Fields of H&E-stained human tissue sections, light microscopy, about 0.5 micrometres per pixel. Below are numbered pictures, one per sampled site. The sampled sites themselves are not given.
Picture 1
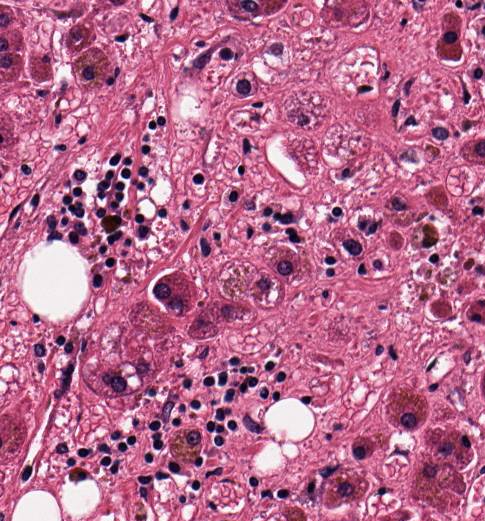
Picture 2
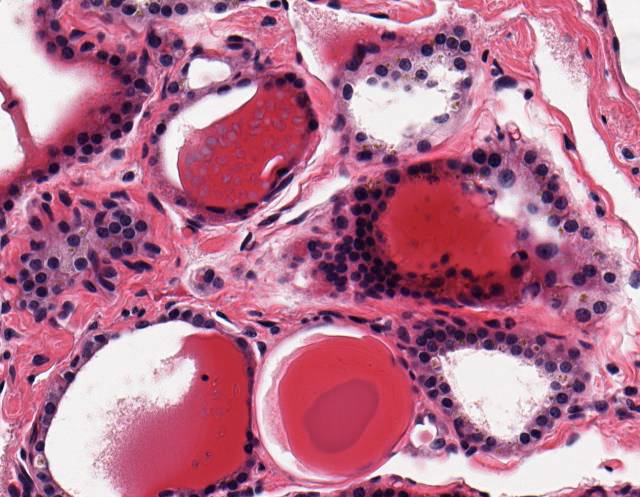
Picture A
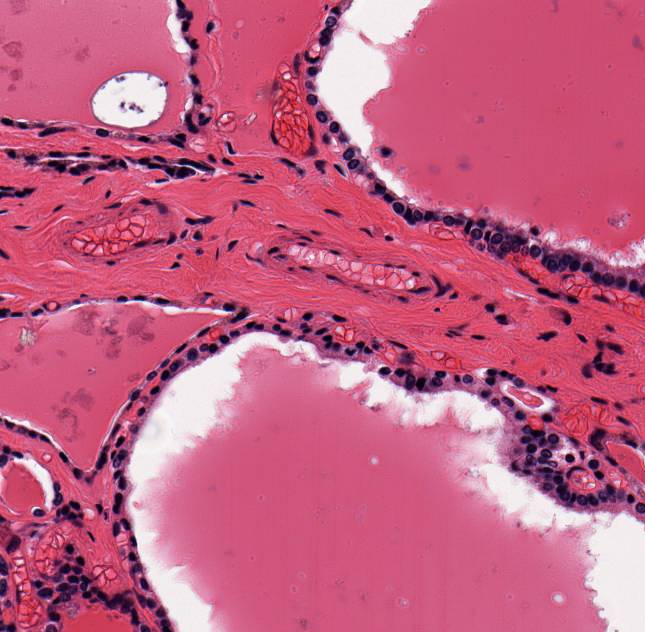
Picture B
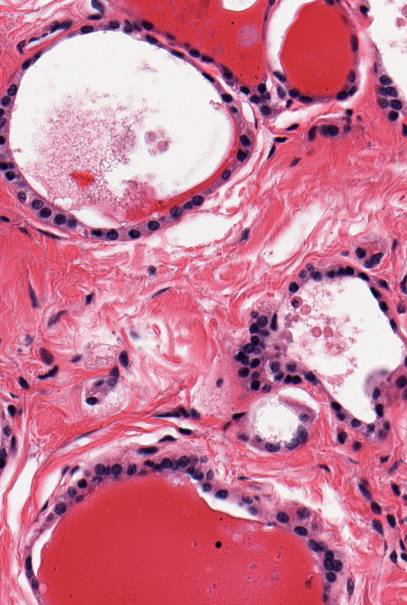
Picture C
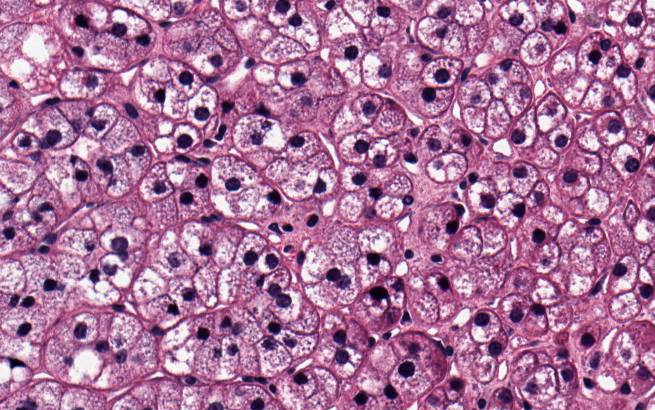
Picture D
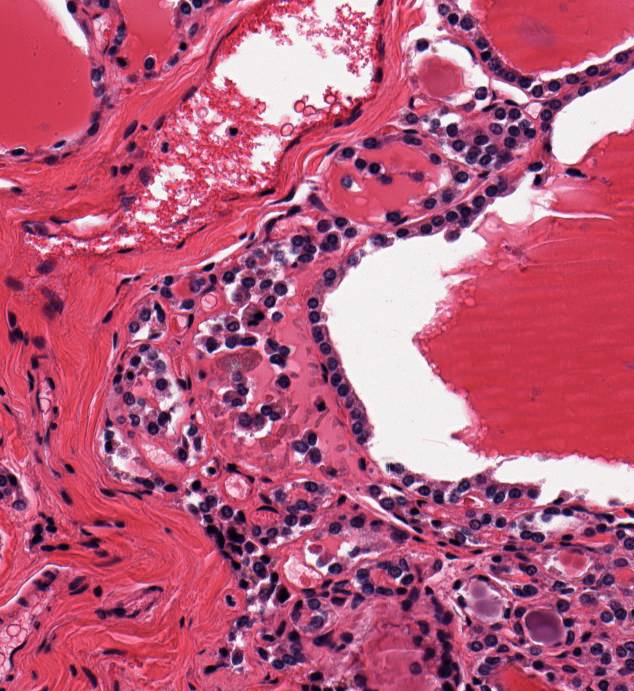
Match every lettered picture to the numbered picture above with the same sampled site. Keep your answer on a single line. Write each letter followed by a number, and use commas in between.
A 2, B 2, C 1, D 2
